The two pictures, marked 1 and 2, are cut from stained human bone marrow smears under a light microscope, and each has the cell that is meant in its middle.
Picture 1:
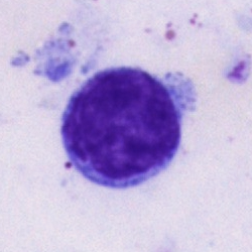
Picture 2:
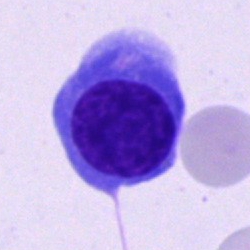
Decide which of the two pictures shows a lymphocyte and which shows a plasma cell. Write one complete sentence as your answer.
Picture 1 shows a lymphocyte and picture 2 shows a plasma cell.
